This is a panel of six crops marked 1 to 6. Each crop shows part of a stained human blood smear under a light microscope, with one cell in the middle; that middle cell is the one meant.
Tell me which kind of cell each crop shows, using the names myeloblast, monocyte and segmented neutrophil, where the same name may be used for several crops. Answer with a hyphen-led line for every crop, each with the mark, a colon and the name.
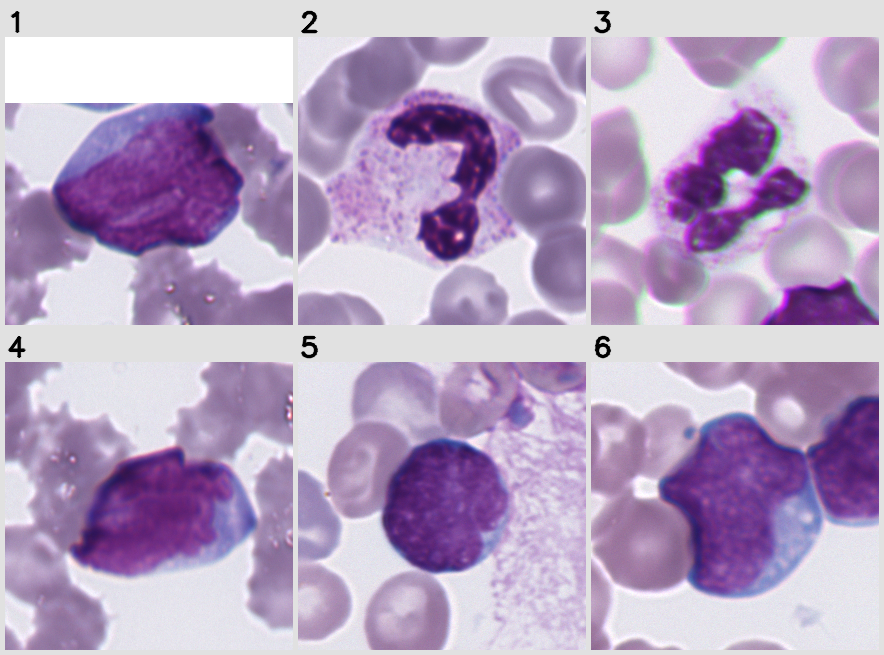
- 1: myeloblast
- 2: segmented neutrophil
- 3: segmented neutrophil
- 4: myeloblast
- 5: myeloblast
- 6: myeloblast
